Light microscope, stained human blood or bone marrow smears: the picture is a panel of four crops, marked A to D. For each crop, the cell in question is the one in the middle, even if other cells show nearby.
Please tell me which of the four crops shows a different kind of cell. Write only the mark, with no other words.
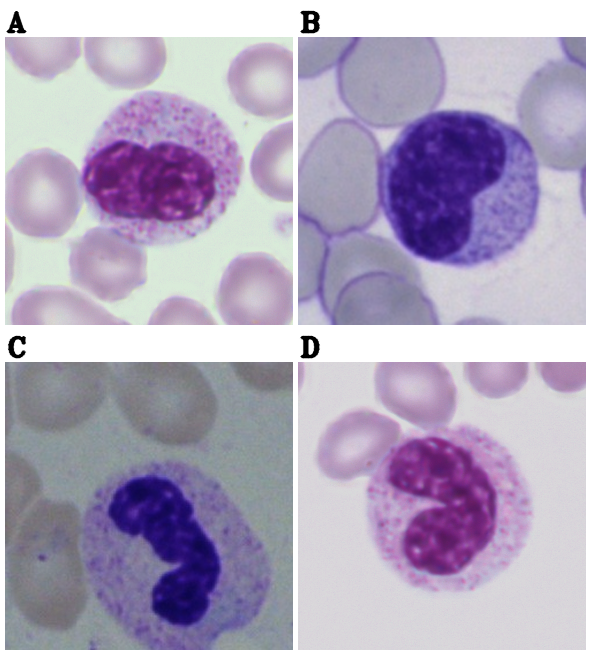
B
